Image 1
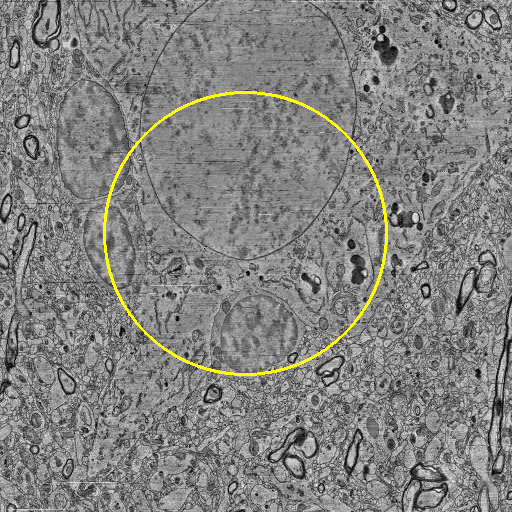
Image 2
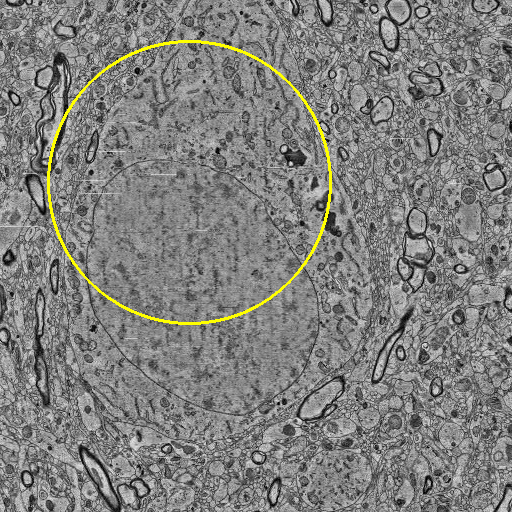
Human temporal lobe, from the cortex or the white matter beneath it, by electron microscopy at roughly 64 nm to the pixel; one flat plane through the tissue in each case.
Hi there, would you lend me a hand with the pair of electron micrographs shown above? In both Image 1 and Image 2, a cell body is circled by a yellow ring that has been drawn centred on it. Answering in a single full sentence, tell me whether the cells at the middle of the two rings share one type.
Yes, the ringed cells in Image 1 and Image 2 share one type.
